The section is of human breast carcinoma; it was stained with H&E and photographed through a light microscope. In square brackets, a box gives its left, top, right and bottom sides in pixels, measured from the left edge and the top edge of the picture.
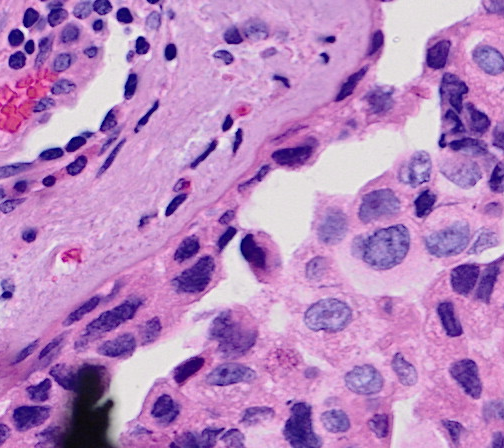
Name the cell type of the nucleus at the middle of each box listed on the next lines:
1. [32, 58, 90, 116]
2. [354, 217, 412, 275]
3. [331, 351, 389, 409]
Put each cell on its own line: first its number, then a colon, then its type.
1: endothelial cell
2: carcinoma cell
3: carcinoma cell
